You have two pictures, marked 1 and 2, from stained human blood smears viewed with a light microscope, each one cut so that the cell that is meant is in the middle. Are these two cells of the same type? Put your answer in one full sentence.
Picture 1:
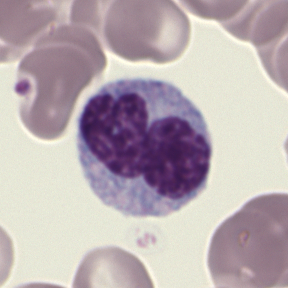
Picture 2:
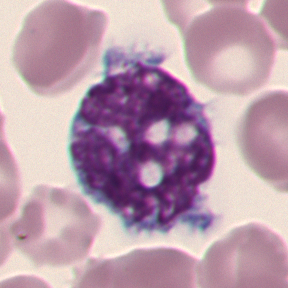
Yes, the two pictures both show monocytes.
